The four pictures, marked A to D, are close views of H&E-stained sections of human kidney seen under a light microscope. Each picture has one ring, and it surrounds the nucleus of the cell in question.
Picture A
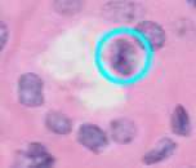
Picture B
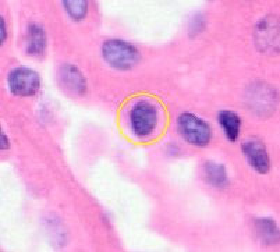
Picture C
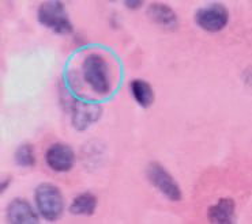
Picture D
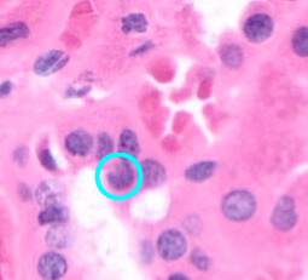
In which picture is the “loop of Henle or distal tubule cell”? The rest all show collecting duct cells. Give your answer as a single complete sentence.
The picture with the “loop of Henle or distal tubule cell” is B.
